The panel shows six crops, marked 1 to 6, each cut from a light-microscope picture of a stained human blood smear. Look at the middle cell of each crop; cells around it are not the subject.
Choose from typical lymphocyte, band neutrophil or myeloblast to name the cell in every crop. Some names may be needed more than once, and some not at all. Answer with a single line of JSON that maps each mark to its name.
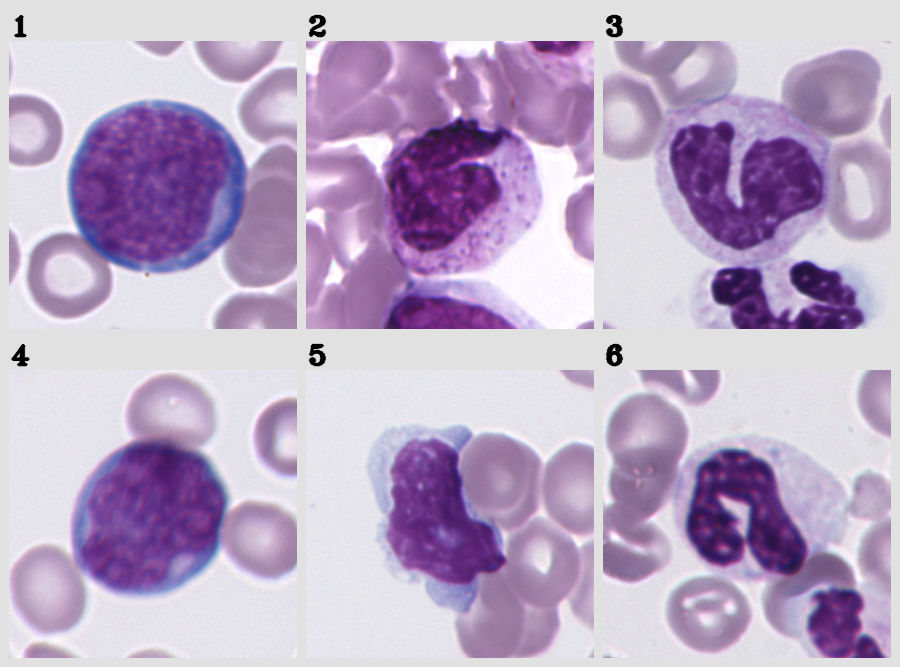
{"1": "myeloblast", "2": "band neutrophil", "3": "band neutrophil", "4": "myeloblast", "5": "typical lymphocyte", "6": "band neutrophil"}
